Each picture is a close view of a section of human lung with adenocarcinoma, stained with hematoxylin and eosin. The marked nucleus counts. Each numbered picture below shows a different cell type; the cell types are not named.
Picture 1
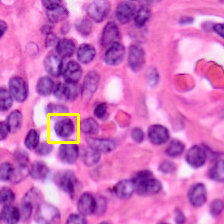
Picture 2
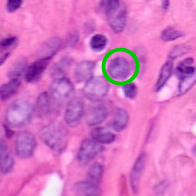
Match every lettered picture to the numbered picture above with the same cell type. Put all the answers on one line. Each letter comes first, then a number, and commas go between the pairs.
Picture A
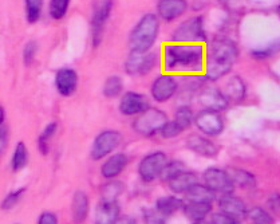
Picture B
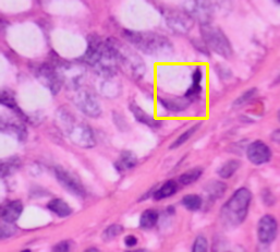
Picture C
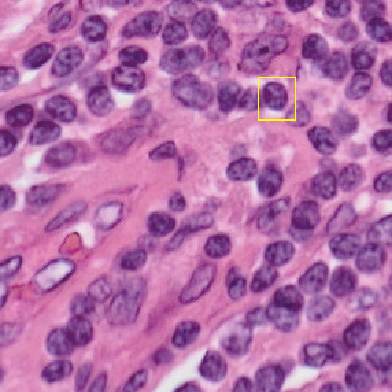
A 2, B 2, C 1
